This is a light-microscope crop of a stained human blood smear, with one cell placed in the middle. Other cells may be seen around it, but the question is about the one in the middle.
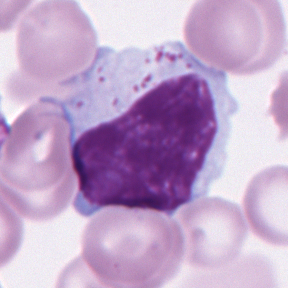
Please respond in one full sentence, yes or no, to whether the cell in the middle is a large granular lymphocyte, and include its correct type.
Yes, the cell that the crop is centred on is a large granular lymphocyte.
